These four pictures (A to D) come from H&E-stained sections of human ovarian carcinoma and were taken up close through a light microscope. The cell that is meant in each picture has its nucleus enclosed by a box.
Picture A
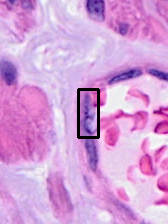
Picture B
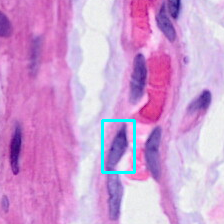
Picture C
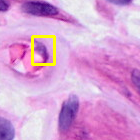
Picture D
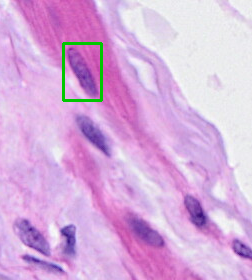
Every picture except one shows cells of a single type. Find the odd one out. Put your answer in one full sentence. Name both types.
Picture D differs, because its cell is a smooth muscle cell and the rest are endothelial cells.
